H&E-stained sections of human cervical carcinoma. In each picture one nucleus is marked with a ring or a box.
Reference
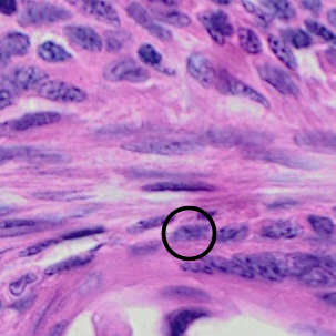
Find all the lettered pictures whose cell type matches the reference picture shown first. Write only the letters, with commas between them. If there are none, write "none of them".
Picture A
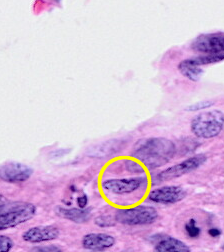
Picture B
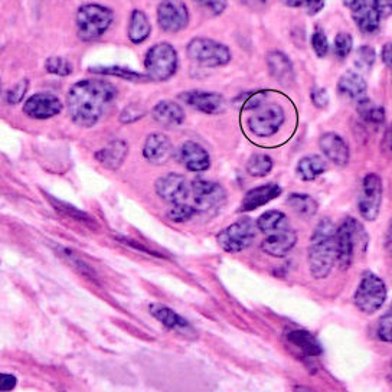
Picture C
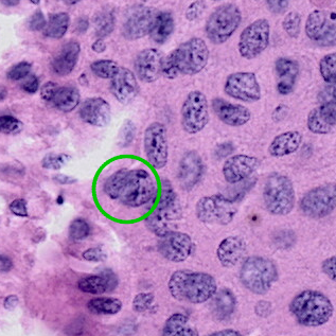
A, B, C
